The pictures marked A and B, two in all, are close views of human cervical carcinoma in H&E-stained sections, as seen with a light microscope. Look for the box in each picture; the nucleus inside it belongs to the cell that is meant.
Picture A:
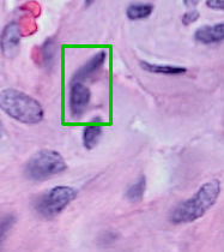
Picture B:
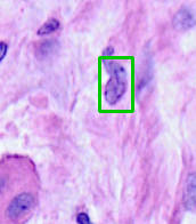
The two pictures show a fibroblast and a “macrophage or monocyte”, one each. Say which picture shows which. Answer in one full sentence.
The cell in picture A is a fibroblast, and the one in picture B is a “macrophage or monocyte”.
